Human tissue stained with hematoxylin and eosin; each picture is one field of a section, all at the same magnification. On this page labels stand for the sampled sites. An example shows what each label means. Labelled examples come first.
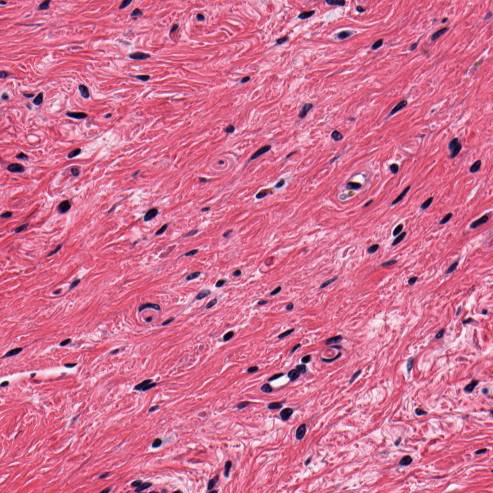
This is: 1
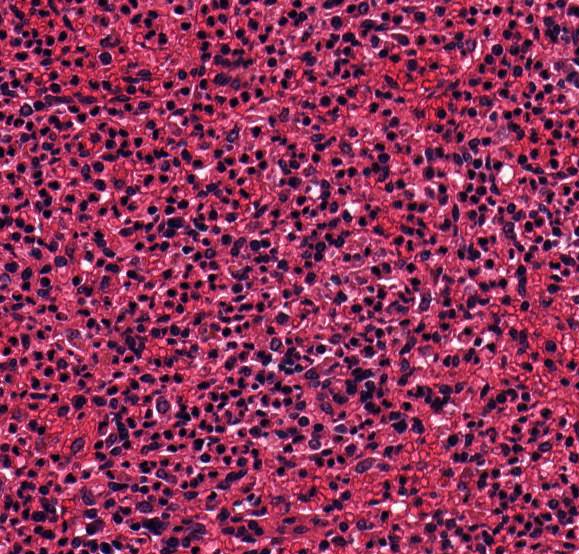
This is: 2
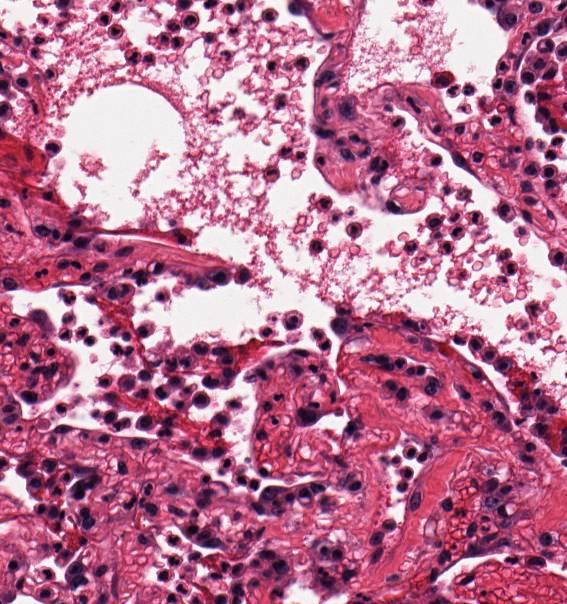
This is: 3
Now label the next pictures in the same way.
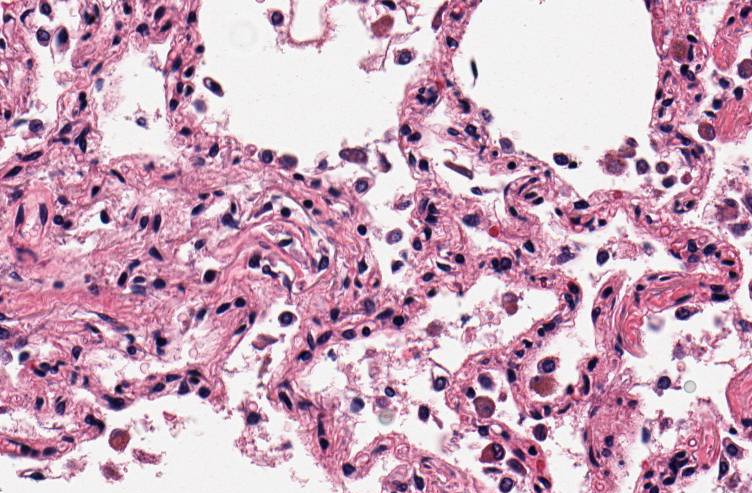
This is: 3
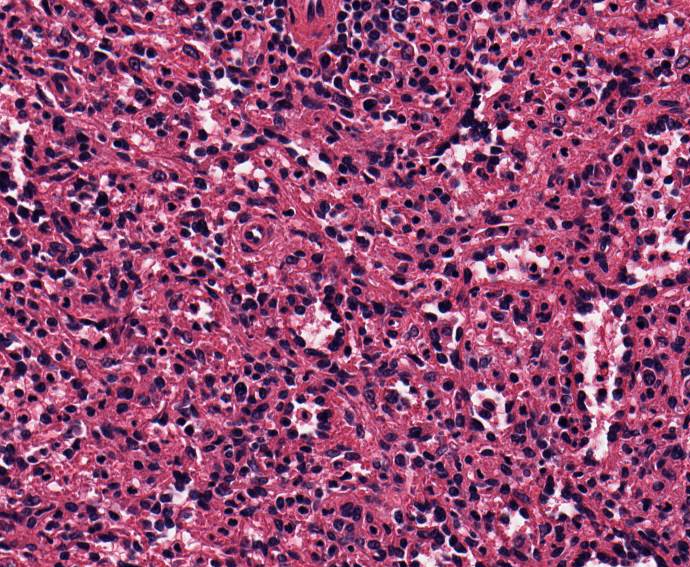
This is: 2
